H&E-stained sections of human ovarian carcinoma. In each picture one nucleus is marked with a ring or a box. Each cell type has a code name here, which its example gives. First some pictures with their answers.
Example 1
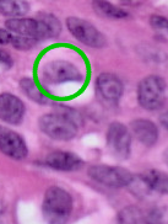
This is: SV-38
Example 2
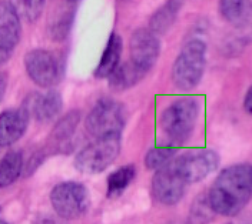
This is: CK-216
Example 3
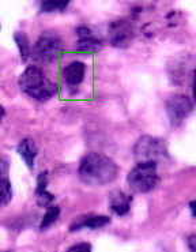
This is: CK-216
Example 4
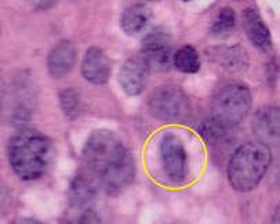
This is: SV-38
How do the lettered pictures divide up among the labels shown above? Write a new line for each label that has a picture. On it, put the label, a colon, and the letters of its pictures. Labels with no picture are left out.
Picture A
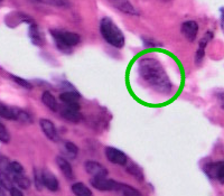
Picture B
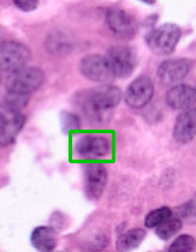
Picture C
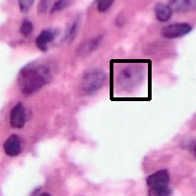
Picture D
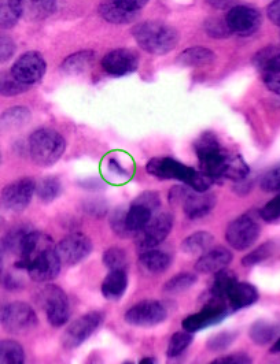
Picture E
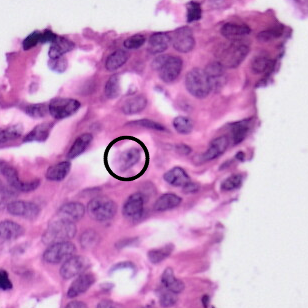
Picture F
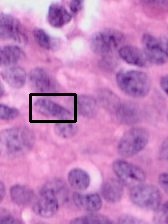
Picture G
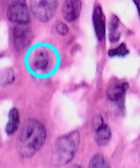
SV-38: A, C, D, E, G
CK-216: B, F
